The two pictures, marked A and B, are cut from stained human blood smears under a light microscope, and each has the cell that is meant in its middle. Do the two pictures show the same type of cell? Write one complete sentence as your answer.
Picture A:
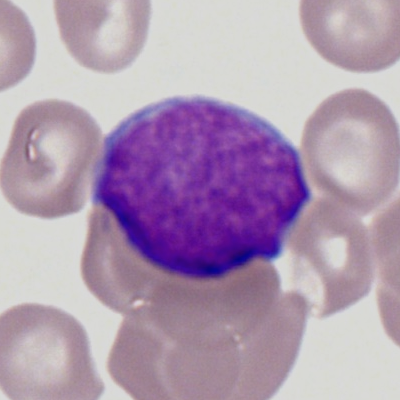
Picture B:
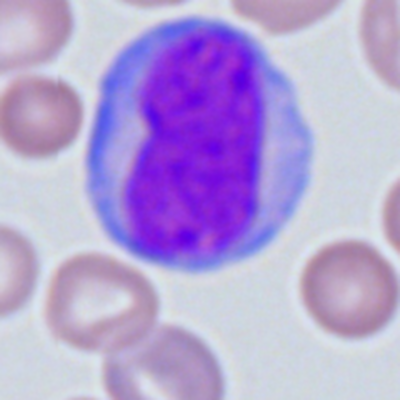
No, they differ: the cell is a myeloblast in picture A and a monocyte in picture B.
